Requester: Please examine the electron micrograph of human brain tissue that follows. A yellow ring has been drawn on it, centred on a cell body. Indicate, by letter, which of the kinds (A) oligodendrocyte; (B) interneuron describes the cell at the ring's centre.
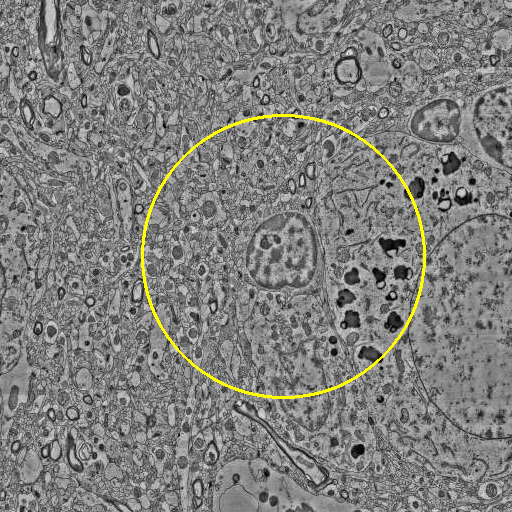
A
